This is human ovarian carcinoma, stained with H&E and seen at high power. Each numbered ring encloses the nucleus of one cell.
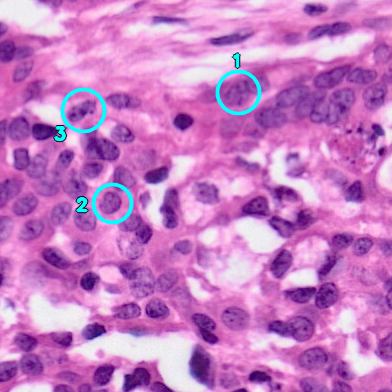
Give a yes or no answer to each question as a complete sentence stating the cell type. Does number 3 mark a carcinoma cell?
No, number 3 identifies a macrophage or monocyte, not a carcinoma cell.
